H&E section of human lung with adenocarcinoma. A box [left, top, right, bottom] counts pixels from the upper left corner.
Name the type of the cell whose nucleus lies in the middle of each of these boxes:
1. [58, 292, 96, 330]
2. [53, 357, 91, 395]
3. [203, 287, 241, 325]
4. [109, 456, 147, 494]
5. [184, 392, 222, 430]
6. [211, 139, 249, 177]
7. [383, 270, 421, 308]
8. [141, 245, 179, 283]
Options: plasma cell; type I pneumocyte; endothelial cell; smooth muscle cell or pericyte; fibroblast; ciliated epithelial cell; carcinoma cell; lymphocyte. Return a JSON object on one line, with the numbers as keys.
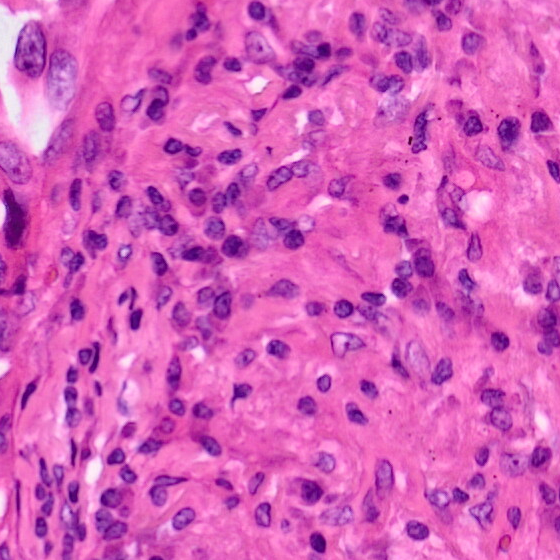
{"1": "lymphocyte", "2": "lymphocyte", "3": "plasma cell", "4": "lymphocyte", "5": "plasma cell", "6": "lymphocyte", "7": "lymphocyte", "8": "plasma cell"}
